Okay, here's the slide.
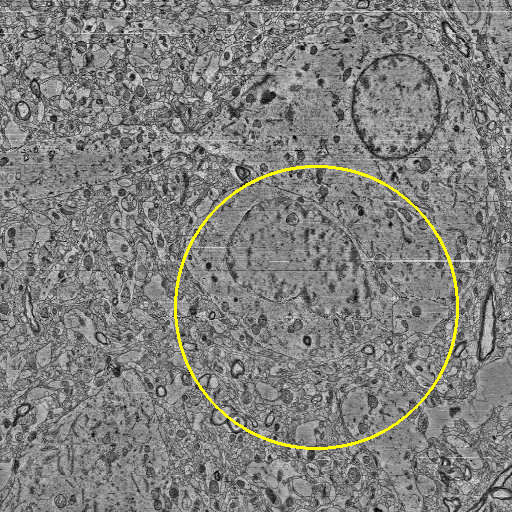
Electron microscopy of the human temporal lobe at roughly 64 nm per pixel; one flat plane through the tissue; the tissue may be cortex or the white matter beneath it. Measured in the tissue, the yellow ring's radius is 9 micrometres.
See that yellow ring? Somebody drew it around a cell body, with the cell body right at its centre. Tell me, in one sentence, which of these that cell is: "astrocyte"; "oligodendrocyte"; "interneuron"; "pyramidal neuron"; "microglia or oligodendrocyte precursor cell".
The cell in the middle of the ring is an interneuron.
